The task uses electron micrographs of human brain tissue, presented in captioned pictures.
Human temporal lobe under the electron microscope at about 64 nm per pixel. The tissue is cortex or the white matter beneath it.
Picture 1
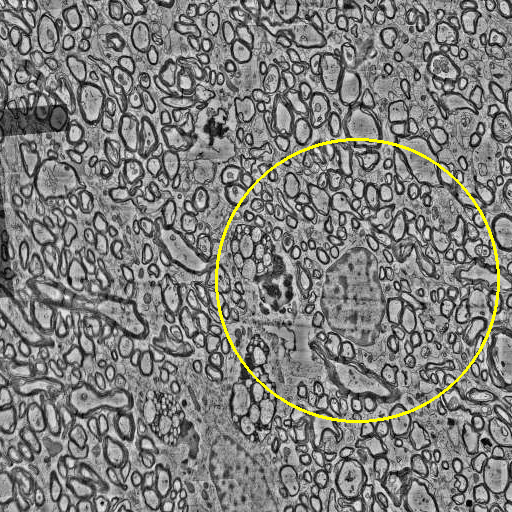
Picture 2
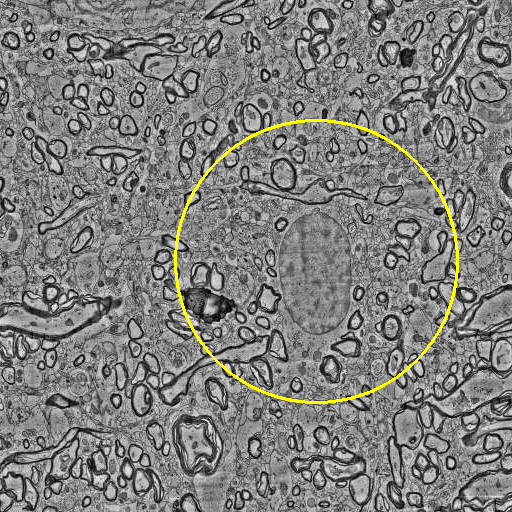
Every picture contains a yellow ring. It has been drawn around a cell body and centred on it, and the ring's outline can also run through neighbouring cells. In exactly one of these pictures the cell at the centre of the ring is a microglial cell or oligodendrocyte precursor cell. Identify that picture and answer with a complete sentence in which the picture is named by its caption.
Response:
The ring in Picture 1 is centred on that kind of cell.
